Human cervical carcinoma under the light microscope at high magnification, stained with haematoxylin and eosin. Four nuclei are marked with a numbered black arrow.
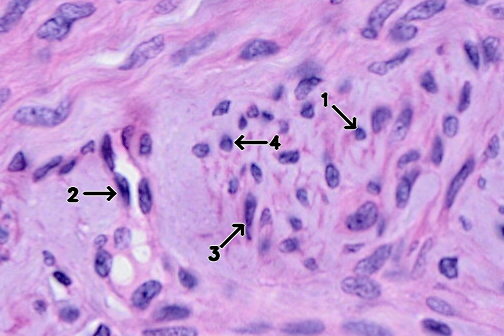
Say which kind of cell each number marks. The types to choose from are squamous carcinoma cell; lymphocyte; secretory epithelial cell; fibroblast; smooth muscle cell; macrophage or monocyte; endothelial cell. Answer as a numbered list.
1. smooth muscle cell
2. endothelial cell
3. smooth muscle cell
4. smooth muscle cell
